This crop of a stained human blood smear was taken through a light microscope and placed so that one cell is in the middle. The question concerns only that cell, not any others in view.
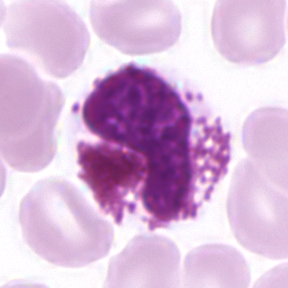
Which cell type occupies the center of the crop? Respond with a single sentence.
By classification, the middle cell of this crop is an eosinophil.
